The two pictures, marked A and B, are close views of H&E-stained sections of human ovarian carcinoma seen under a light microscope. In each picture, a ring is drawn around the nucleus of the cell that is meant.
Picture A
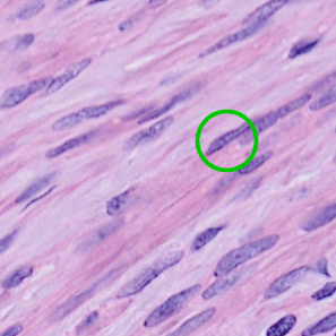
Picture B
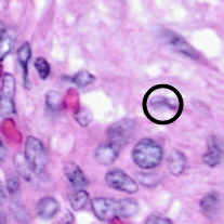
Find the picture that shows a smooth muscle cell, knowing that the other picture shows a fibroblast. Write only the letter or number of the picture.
A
